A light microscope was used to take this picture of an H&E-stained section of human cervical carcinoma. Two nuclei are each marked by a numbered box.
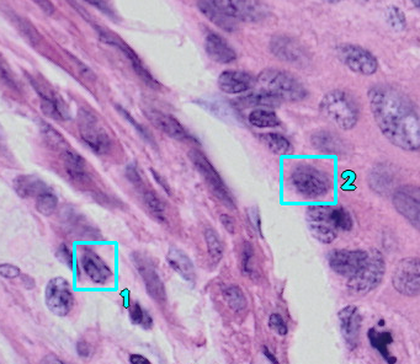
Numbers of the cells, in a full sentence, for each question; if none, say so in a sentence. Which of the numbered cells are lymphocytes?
There is just one numbered cell that is a lymphocyte, and it is cell 1.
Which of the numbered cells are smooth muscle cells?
The count of smooth muscle cells among the numbered cells is zero.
